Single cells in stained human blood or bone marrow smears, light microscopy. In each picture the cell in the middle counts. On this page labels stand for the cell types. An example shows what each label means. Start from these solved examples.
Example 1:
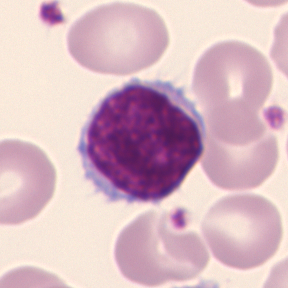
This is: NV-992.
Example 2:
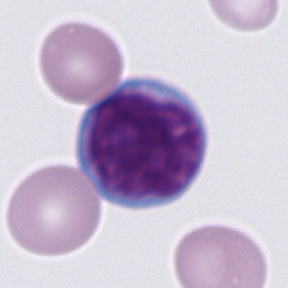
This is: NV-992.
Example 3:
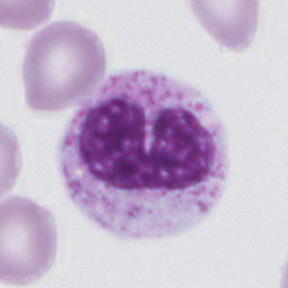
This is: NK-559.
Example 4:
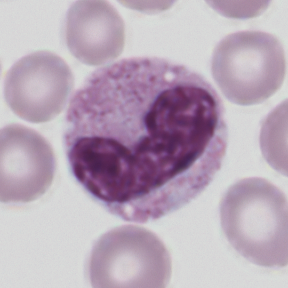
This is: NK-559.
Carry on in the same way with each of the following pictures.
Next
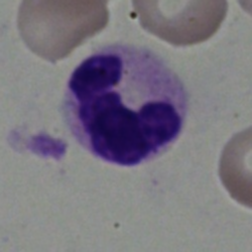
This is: NK-559.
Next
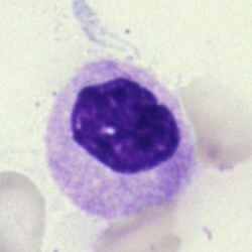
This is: NK-559.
